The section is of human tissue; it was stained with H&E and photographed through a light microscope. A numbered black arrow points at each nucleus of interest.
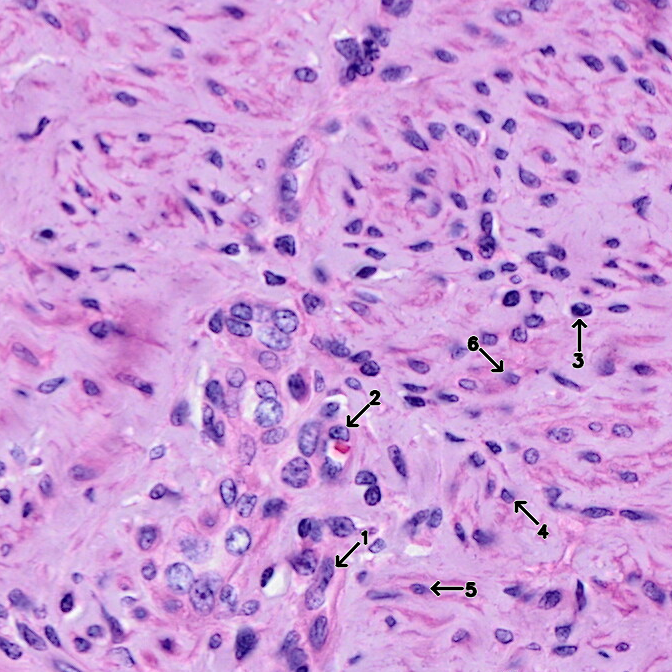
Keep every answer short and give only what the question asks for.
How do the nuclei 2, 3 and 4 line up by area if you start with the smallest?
4, 3, 2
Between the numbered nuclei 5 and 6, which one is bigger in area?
6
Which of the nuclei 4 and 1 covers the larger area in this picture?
1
